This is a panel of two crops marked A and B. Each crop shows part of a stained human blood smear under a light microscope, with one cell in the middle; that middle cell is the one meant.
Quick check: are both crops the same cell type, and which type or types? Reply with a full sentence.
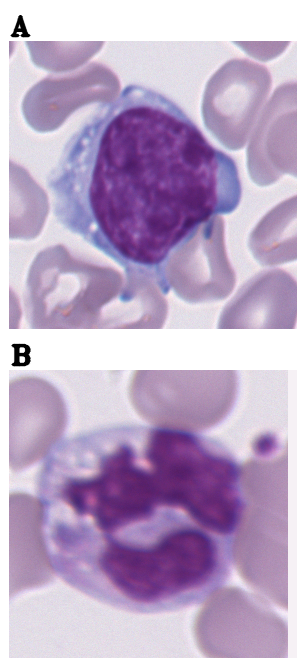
No, crop A shows a myeloblast, with a monocyte shown in crop B.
